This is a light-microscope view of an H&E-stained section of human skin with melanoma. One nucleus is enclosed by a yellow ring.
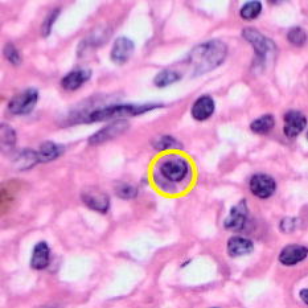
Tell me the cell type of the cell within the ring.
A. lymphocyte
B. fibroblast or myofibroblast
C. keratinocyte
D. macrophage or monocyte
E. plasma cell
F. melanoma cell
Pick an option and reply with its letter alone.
E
